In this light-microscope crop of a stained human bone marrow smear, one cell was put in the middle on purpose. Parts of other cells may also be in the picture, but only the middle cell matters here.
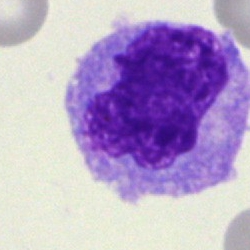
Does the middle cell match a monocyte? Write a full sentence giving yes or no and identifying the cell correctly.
Yes, it is a monocyte that occupies the centre of the crop.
